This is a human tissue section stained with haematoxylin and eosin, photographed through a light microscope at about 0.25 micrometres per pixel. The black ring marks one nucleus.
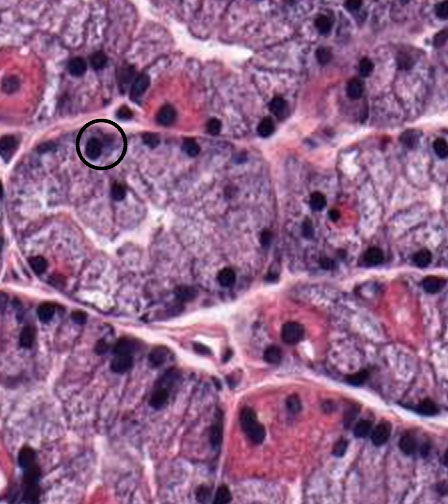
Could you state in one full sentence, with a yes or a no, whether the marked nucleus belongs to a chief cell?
Yes, it is the nucleus of a chief cell that has been marked.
